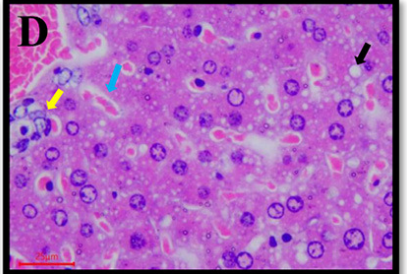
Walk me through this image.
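This is liver tissue with hepatocytes whose cytoplasm contains many small clear round vacuoles, consistent with fatty degeneration. The hepatocyte nuclei are round, with some appearing pale and others small and dark. At the upper left a vessel filled with red blood cells is bordered by a cluster of cells with small dark nuclei, and pink-red blood cells are seen within dilated sinusoids between the cords.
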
